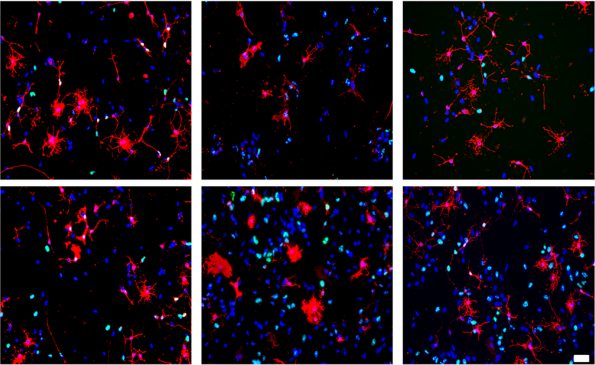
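Six fluorescence fields of cultured oligodendrocytes, shown in red with dense, highly ramified processes forming web-like arbors around small cell bodies, some with long thin extensions crossing the field. Blue oval nuclei are scattered throughout, and some appear turquoise or green where green nuclear staining is present.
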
